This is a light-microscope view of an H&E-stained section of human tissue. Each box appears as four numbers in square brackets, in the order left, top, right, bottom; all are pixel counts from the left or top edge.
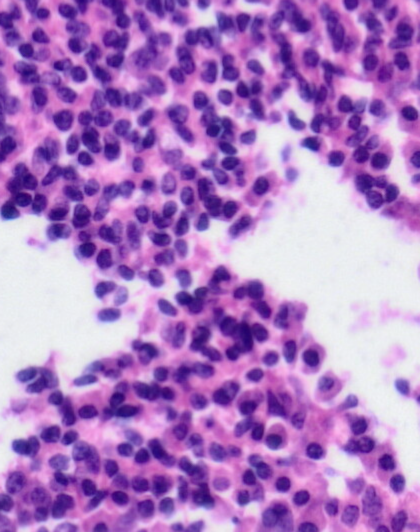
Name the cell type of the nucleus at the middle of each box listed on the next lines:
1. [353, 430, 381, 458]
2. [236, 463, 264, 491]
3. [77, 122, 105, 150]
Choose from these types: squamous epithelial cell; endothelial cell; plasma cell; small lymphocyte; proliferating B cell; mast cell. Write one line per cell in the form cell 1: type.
cell 1: plasma cell
cell 2: plasma cell
cell 3: small lymphocyte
